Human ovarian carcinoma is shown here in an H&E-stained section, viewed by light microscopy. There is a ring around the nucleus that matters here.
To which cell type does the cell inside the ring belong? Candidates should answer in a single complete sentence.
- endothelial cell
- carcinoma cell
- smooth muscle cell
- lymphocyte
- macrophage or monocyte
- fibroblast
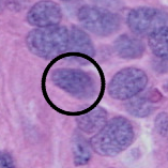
In cellular terms, the cell inside the ring is a carcinoma cell.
